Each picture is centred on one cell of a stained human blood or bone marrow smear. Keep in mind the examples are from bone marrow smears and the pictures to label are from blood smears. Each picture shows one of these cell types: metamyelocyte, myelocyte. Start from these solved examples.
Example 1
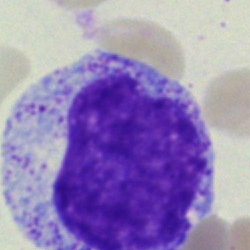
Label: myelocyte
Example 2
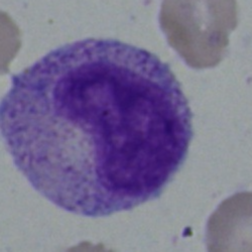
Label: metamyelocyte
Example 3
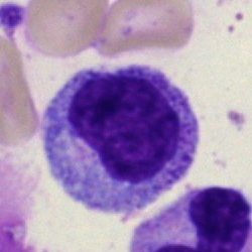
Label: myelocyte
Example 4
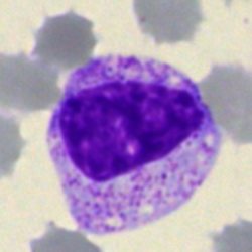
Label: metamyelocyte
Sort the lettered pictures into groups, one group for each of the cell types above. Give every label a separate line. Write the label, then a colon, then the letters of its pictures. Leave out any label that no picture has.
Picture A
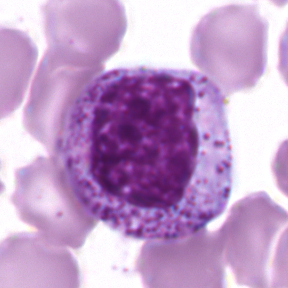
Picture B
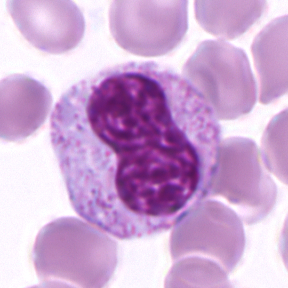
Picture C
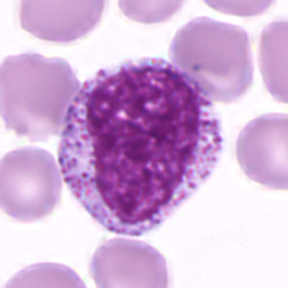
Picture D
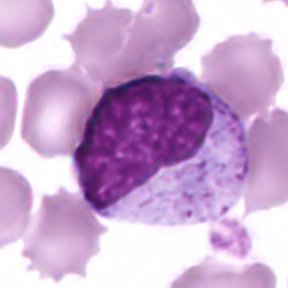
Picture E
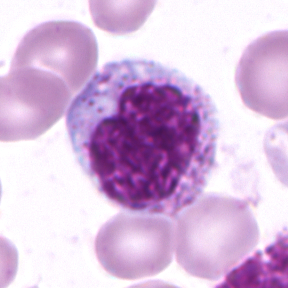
metamyelocyte: B, C, D, E
myelocyte: A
